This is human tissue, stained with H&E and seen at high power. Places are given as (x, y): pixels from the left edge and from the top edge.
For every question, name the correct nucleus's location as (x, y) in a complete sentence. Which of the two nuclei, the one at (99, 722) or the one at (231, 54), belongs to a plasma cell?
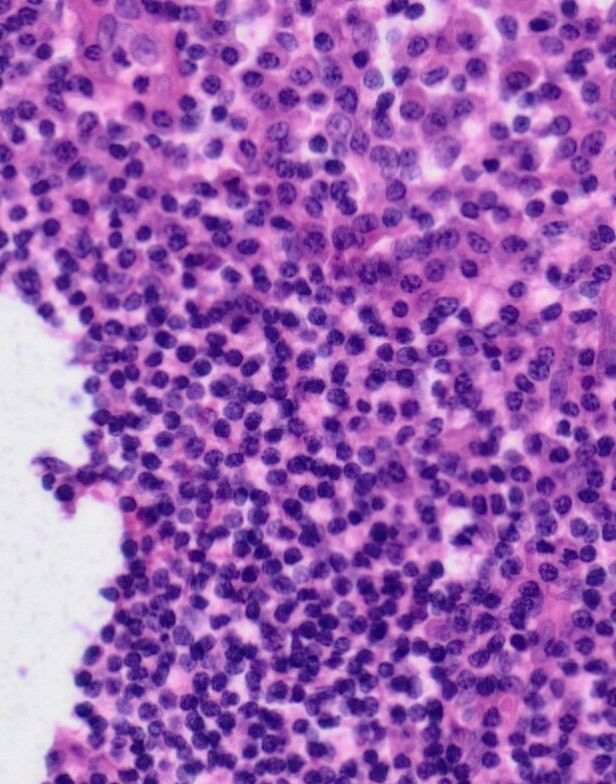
Identify the nucleus at (231, 54) as the one belonging to a plasma cell.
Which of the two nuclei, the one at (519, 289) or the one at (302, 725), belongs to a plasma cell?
Of the two nuclei, it is the one at (519, 289) that lies within a plasma cell.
